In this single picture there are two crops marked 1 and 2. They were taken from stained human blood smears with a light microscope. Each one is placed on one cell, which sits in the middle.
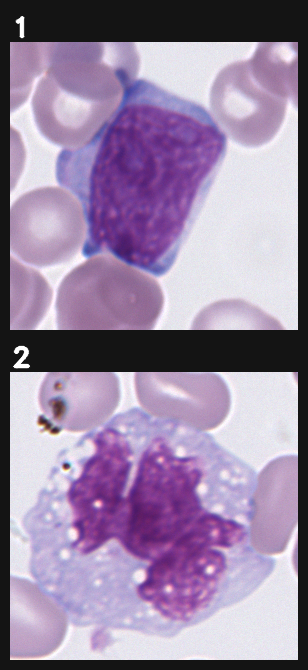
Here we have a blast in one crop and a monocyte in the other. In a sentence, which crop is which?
Identification: crop 1 is a blast; crop 2 is a monocyte.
